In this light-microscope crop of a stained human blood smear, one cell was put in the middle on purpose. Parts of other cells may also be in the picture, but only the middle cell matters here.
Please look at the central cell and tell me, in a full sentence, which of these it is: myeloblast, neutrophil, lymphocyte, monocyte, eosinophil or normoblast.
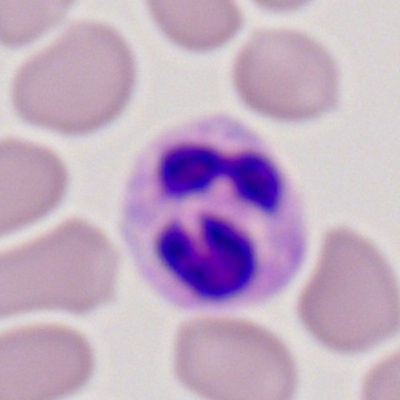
The middle cell in this particular crop is a neutrophil.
